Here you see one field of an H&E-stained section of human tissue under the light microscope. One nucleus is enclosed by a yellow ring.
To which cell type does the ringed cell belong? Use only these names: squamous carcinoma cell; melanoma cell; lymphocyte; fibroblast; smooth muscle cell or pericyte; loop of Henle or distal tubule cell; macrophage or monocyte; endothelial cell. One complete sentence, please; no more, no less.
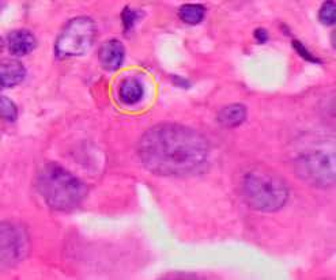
On this particular slide, the ringed cell is a lymphocyte.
